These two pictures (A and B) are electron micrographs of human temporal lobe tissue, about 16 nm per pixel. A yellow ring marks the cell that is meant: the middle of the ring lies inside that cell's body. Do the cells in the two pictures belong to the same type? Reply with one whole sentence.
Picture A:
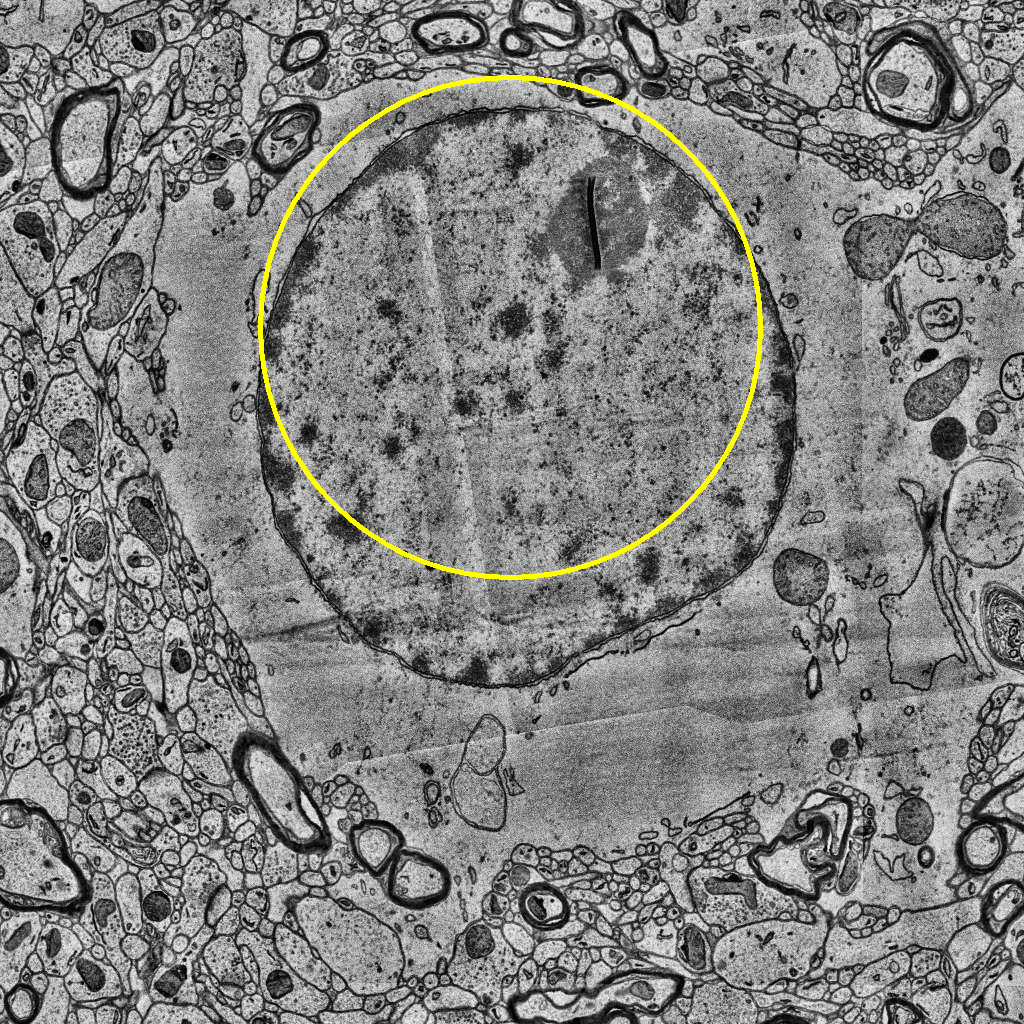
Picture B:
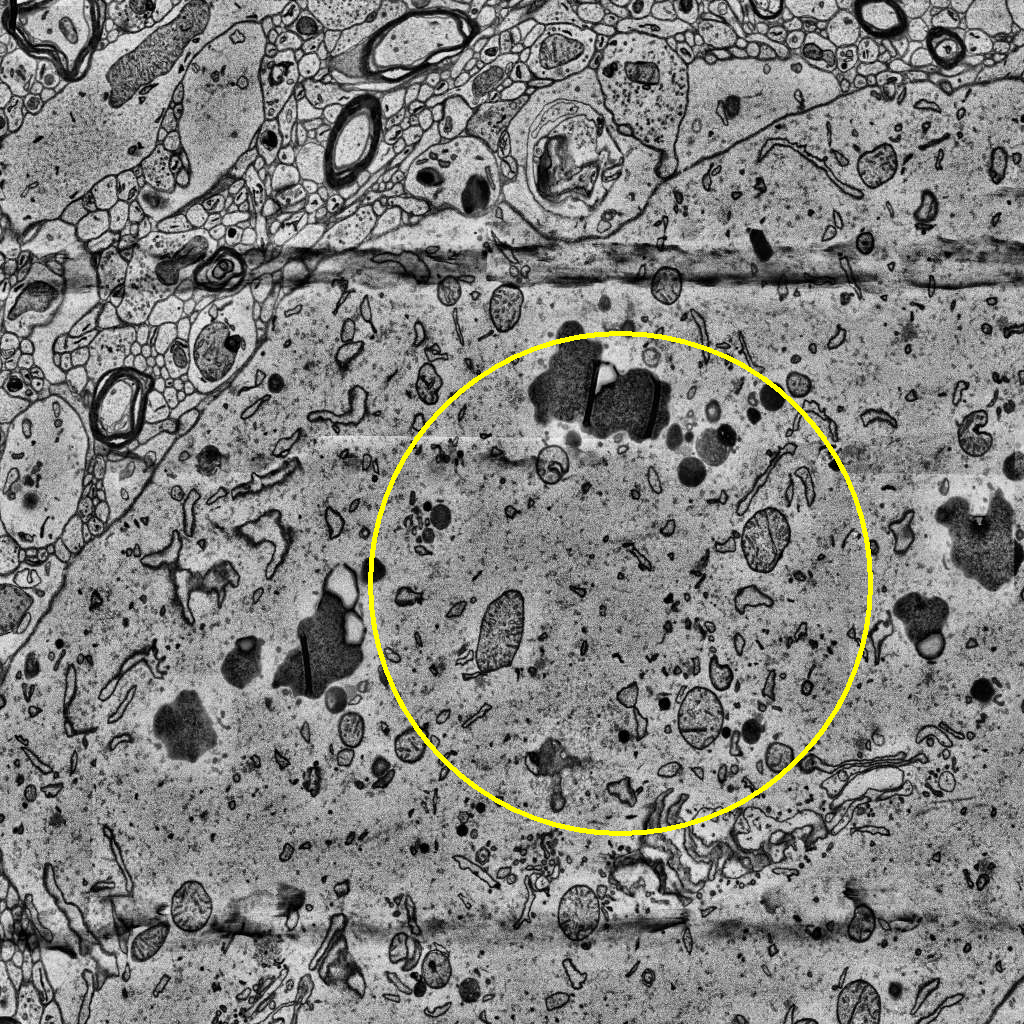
No; the cell in picture A is an astrocyte, while the one in picture B is a pyramidal neuron.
